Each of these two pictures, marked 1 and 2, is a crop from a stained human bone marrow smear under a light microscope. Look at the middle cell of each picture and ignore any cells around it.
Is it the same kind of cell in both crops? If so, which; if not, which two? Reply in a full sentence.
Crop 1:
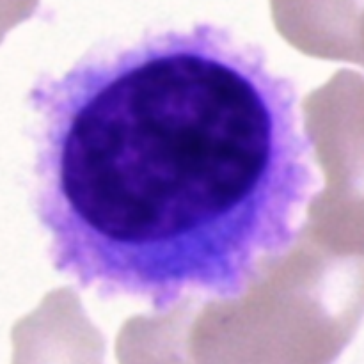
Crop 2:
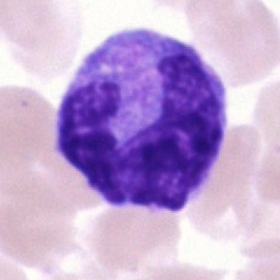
No, crop 2 centres on a monocyte, and crop 1 centres on a hairy cell.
